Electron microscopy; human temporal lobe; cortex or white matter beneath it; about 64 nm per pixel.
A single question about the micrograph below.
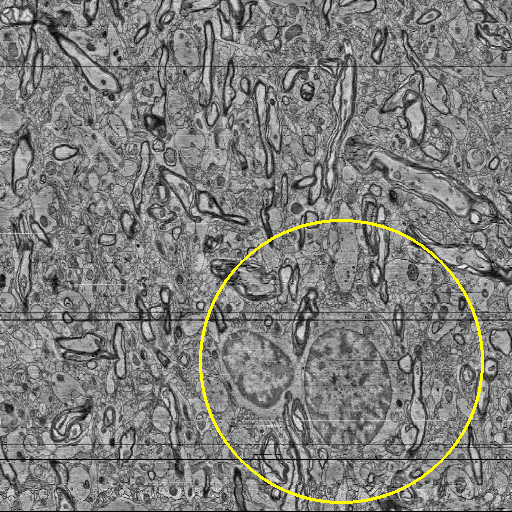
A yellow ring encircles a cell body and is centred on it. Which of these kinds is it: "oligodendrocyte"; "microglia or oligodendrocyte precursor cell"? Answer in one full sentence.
The cell body at the centre of the yellow ring belongs to an oligodendrocyte.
